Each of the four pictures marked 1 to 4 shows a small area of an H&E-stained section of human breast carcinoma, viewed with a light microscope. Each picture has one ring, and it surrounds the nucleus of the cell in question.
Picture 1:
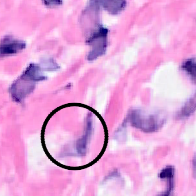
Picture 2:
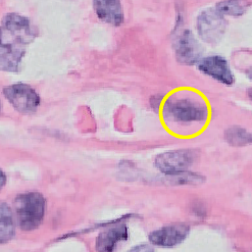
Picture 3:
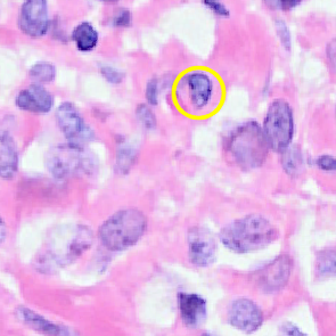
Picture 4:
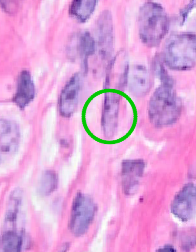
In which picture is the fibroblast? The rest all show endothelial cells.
1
